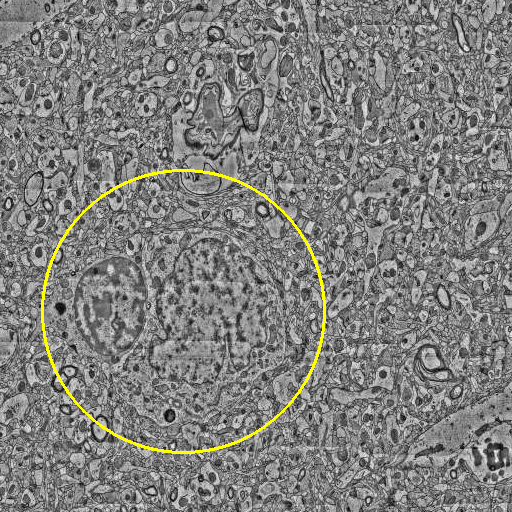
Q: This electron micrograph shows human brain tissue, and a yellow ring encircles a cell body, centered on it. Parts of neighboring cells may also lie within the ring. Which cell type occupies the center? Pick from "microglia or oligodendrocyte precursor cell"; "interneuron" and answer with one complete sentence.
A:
What sits at the ring's center in this micrograph is an interneuron, among those choices.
